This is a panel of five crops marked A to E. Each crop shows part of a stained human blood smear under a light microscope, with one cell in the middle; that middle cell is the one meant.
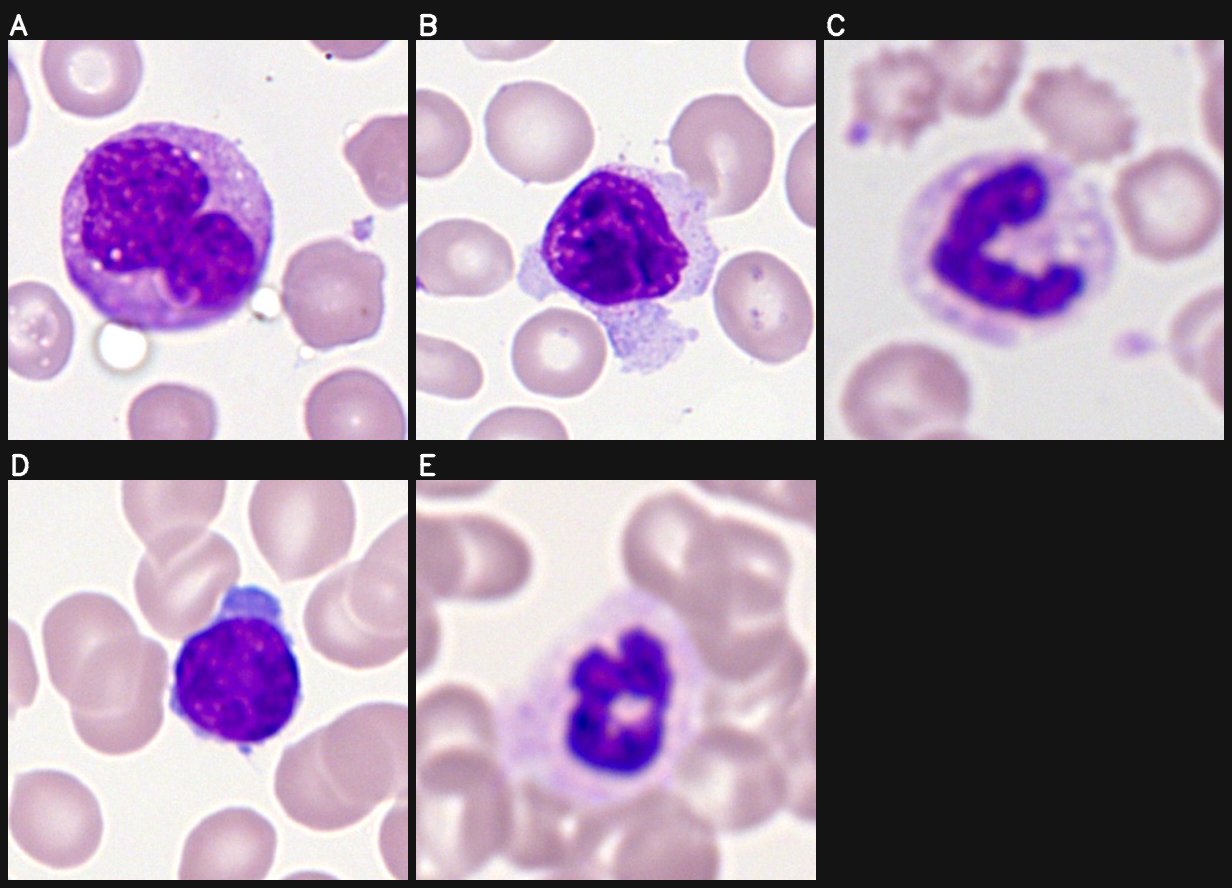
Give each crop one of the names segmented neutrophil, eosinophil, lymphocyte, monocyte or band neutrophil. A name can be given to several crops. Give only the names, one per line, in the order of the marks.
monocyte
lymphocyte
band neutrophil
lymphocyte
segmented neutrophil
